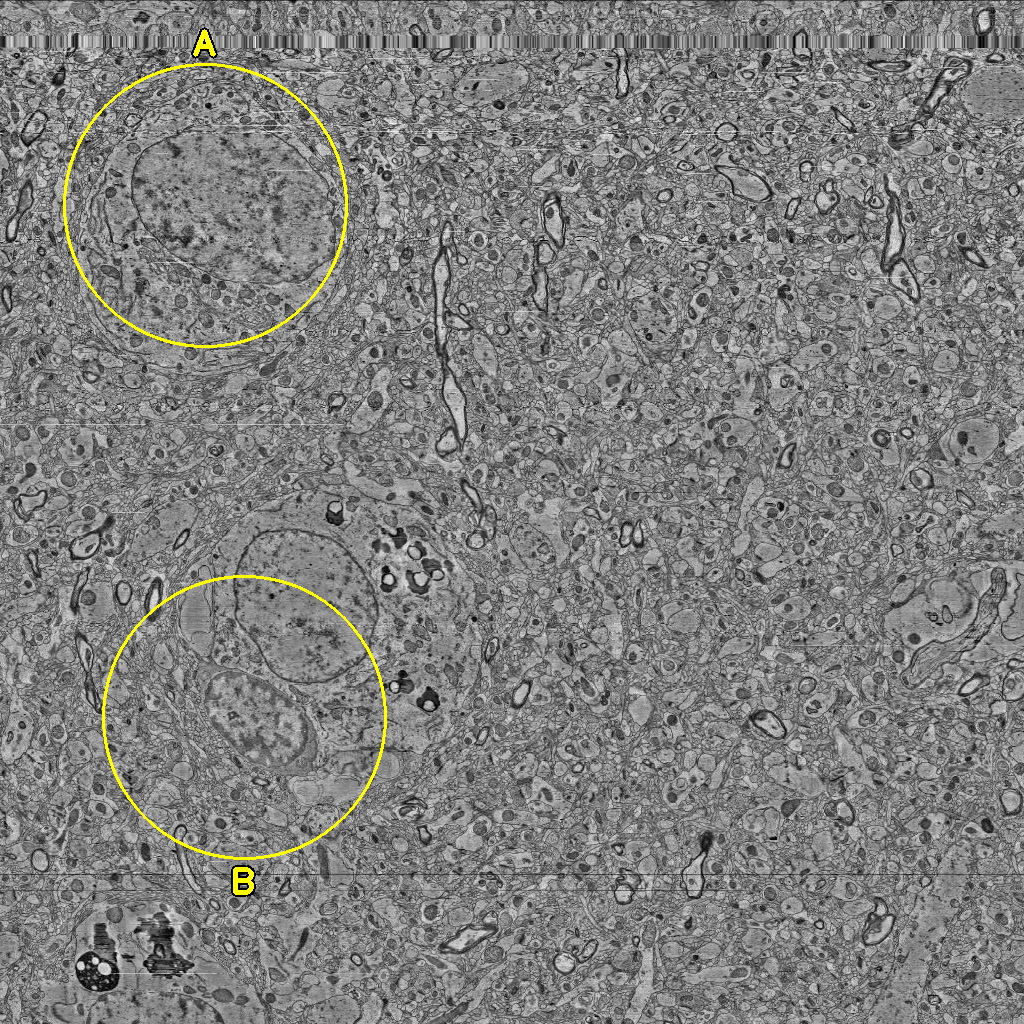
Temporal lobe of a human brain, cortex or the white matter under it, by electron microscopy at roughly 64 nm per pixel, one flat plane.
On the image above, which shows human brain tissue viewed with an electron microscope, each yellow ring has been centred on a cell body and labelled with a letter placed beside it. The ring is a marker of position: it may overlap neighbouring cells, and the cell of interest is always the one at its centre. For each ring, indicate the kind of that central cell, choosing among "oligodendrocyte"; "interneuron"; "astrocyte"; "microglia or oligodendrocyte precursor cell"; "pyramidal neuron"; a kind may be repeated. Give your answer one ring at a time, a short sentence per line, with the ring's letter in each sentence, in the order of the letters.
Ring A shows an interneuron at its centre.
Ring B shows an oligodendrocyte at its centre.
